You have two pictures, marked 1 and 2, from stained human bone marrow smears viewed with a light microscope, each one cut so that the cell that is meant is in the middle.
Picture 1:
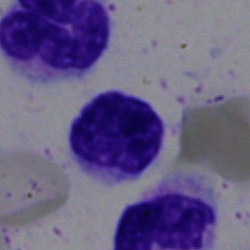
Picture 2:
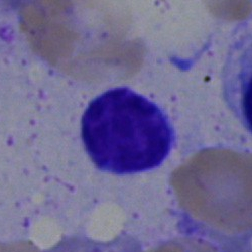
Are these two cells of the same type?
yes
